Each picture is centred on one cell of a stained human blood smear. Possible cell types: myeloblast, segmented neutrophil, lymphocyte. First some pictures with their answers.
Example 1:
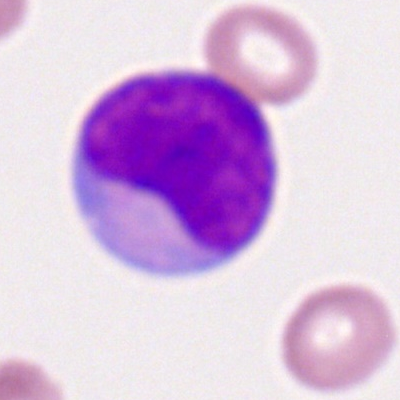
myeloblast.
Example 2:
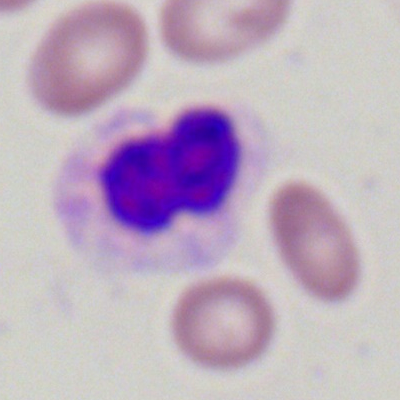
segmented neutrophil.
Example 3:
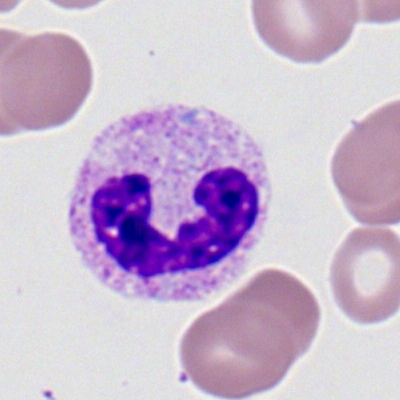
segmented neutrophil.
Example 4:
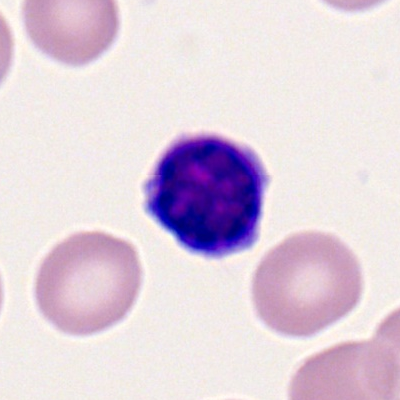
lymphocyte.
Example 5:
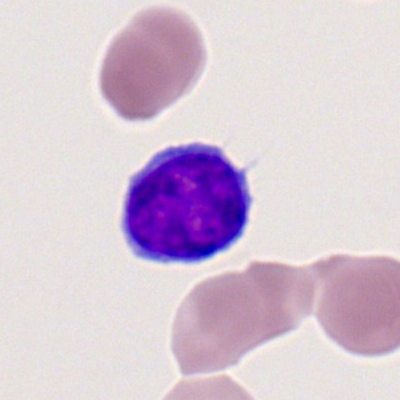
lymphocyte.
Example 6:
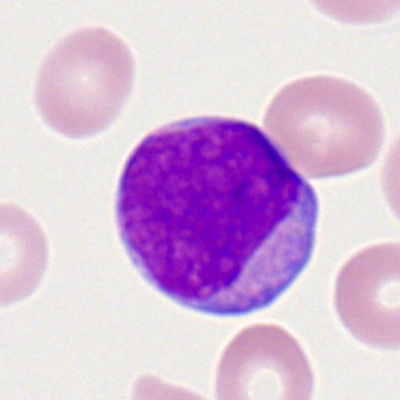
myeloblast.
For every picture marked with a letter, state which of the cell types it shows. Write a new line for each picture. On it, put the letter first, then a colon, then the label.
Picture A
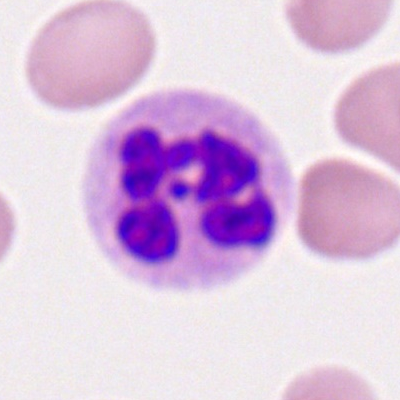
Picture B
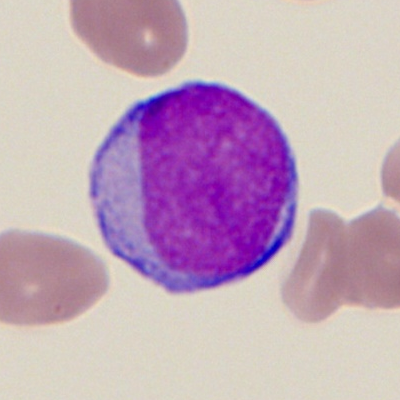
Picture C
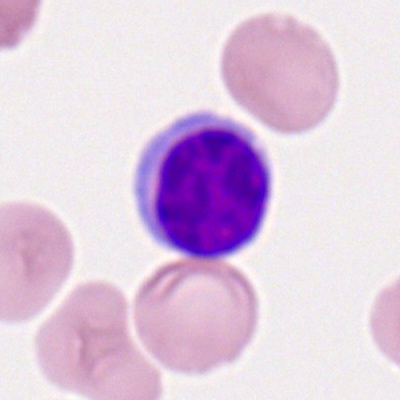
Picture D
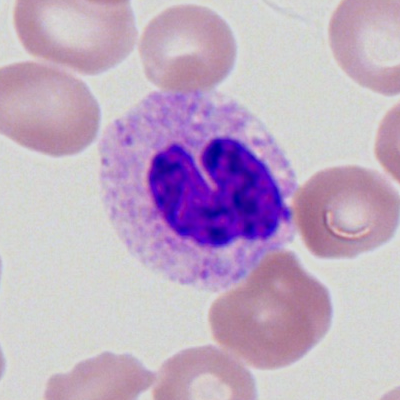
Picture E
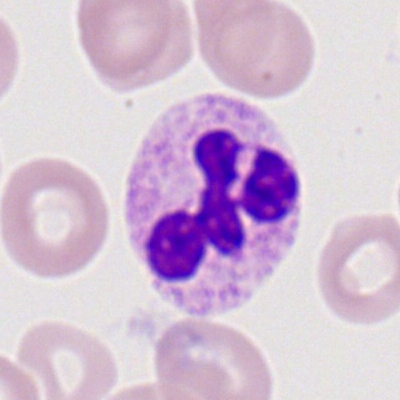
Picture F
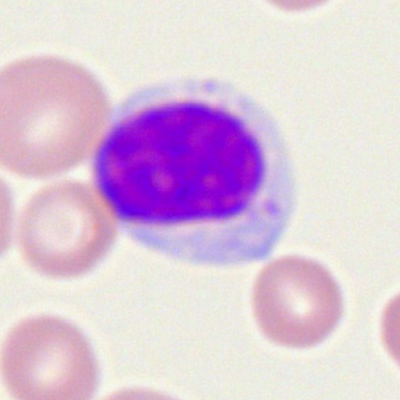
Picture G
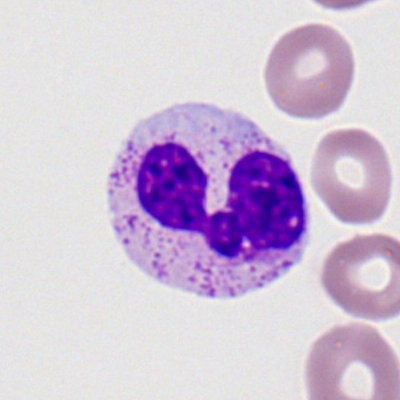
A: segmented neutrophil.
B: myeloblast.
C: lymphocyte.
D: segmented neutrophil.
E: segmented neutrophil.
F: lymphocyte.
G: segmented neutrophil.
